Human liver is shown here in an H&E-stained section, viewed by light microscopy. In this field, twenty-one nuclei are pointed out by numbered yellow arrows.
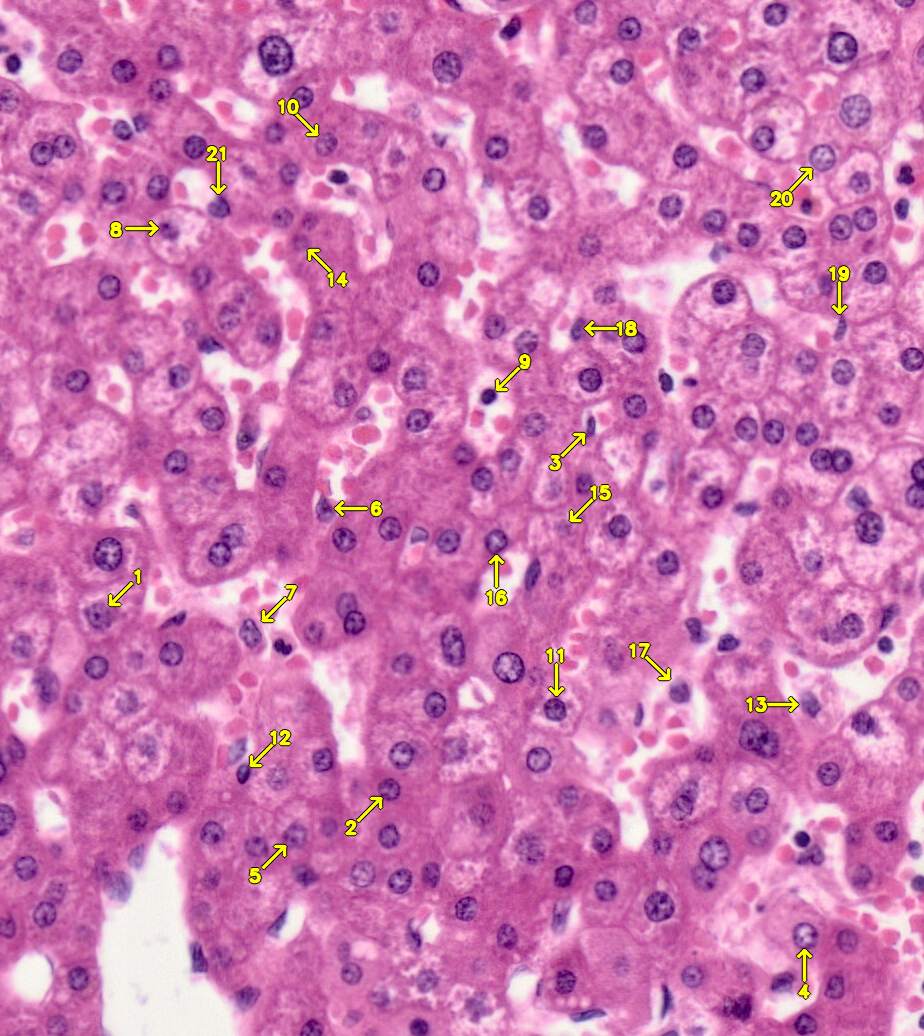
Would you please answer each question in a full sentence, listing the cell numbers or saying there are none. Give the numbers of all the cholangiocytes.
The numbered cells are not cholangiocytes, not even one of them.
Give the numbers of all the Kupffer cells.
The numbers 7, 13, 17 and 18 refer to cells that are Kupffer cells.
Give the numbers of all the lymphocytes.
Exactly one numbered cell is a lymphocyte, and that cell is number 9.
